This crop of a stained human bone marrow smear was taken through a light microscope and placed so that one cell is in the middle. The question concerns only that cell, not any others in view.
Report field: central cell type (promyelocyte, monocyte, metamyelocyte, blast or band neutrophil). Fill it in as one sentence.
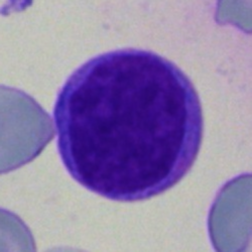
At the middle of the frame sits a blast.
